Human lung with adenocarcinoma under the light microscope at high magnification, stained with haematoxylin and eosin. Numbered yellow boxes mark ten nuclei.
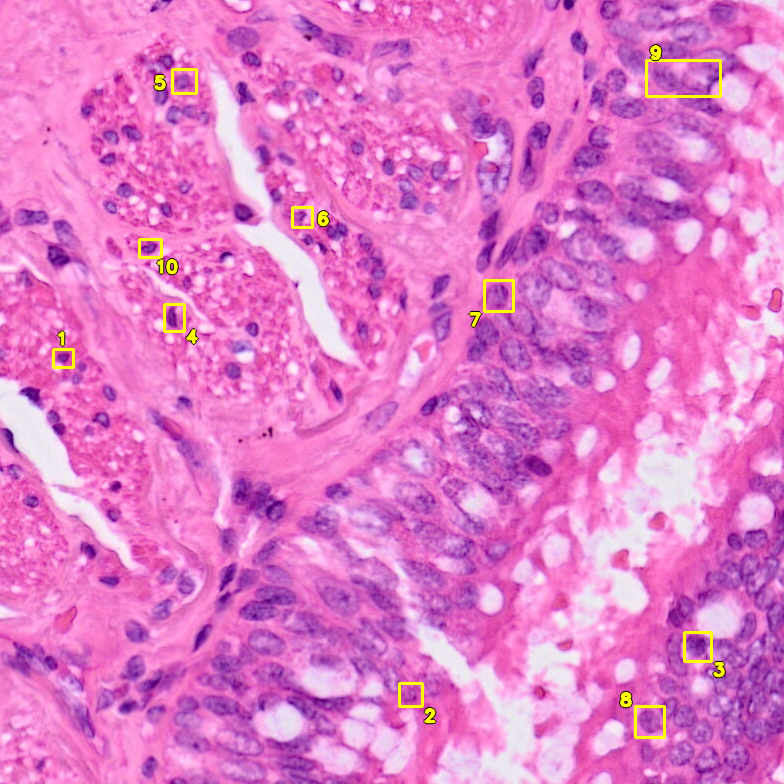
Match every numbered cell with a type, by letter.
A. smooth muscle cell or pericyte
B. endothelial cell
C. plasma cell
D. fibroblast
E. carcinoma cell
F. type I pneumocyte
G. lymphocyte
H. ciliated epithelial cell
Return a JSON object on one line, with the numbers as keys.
{"1": "A", "2": "H", "3": "H", "4": "A", "5": "A", "6": "A", "7": "H", "8": "H", "9": "H", "10": "A"}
